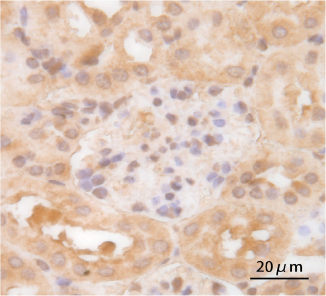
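This is kidney tissue centred on a glomerulus, a rounded tuft of capillaries crowded with small blue nuclei and only pale tan staining. The surrounding tubules are lined by cuboidal cells whose cytoplasm carries a light to moderate brown stain, with round blue nuclei and open lumens between them.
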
